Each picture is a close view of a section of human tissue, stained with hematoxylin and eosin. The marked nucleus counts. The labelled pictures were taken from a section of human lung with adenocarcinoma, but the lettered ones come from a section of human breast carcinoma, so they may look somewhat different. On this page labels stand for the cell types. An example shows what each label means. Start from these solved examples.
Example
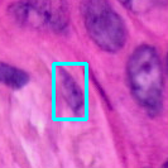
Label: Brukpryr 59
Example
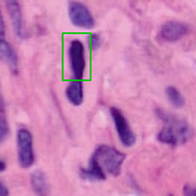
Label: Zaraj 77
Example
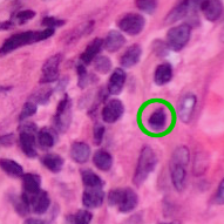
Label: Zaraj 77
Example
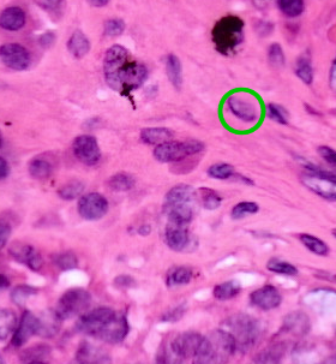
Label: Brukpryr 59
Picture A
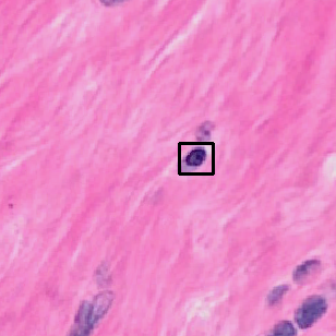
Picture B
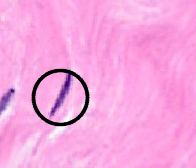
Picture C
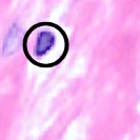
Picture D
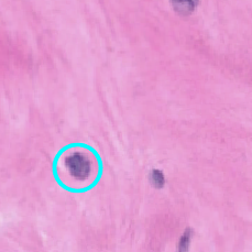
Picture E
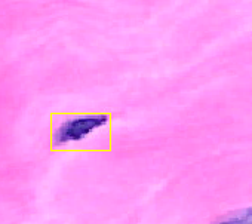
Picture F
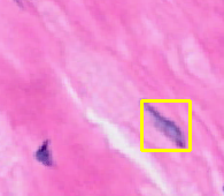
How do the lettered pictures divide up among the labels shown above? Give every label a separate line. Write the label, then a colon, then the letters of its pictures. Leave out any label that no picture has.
Brukpryr 59: B, E, F
Zaraj 77: A, C, D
